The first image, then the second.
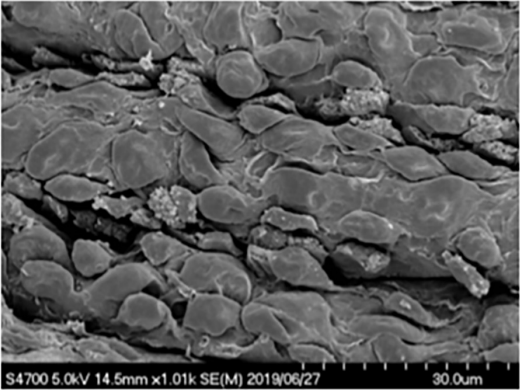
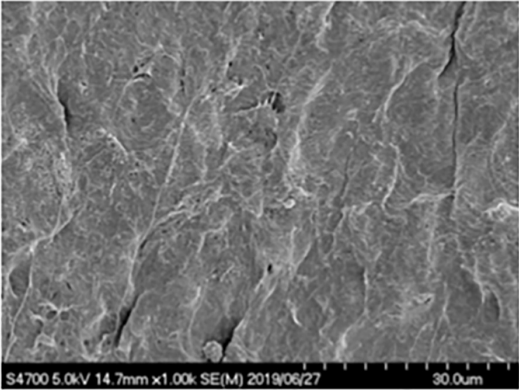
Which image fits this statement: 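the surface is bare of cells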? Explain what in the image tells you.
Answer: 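The second image. Second image: a smooth to finely wrinkled, fibrous surface with no cell outlines. First image: many plump, rounded cell bodies packed over the surface.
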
